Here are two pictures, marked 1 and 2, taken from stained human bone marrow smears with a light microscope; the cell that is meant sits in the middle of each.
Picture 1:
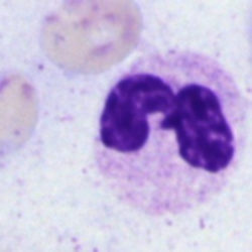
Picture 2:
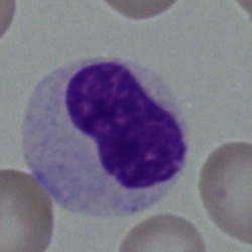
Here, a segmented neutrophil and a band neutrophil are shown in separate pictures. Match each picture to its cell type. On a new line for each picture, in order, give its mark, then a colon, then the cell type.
1: segmented neutrophil
2: band neutrophil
